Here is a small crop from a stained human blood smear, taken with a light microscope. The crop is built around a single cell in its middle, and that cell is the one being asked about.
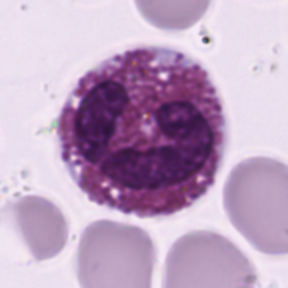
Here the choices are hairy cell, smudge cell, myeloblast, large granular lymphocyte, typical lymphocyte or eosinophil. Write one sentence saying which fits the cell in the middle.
The cell at the middle of the crop is recognized as an eosinophil.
